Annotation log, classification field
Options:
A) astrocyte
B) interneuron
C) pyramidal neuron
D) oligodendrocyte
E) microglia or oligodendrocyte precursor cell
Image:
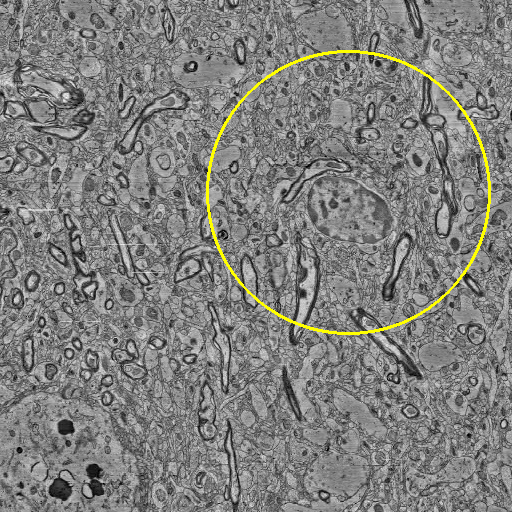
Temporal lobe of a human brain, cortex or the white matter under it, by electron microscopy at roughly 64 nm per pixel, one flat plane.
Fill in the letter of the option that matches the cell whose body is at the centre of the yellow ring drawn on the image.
E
